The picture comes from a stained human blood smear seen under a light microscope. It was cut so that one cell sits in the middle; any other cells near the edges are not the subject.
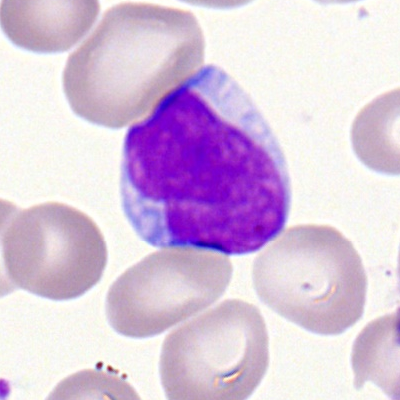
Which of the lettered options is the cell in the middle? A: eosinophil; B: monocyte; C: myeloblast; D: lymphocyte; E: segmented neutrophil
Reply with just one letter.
C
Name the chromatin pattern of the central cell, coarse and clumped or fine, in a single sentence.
Take a look at the chromatin, which is coarsely clumped.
